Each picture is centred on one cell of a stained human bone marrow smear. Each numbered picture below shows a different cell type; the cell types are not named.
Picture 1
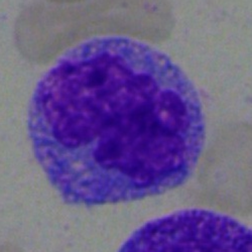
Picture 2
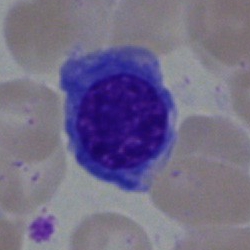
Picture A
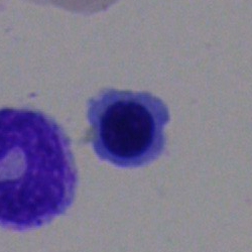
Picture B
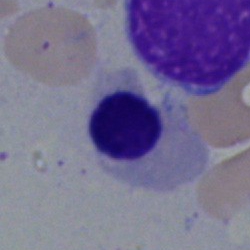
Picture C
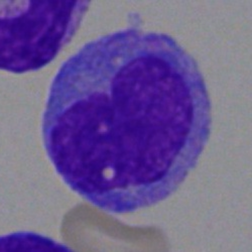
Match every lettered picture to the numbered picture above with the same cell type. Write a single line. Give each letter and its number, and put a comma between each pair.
A 2, B 2, C 1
